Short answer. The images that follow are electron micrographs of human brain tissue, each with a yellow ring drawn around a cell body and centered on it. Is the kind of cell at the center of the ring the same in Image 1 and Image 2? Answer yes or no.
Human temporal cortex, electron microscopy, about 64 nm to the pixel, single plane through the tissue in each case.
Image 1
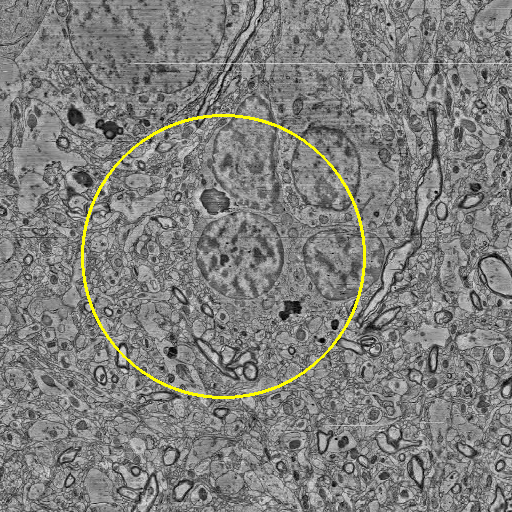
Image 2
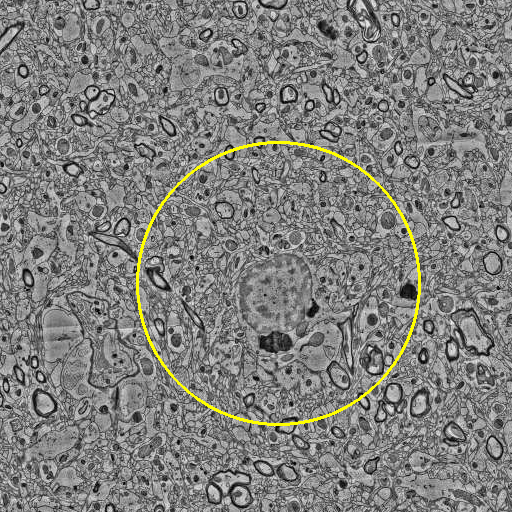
yes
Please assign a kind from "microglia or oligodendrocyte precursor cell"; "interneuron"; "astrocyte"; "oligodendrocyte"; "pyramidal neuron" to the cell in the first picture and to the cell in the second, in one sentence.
Each of the two rings surrounds an oligodendrocyte.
